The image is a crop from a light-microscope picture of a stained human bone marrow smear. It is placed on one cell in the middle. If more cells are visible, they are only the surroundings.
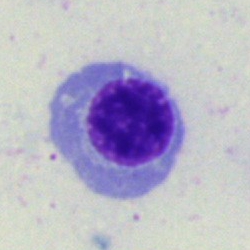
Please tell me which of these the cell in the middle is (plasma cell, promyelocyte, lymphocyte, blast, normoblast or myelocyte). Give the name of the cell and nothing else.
normoblast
